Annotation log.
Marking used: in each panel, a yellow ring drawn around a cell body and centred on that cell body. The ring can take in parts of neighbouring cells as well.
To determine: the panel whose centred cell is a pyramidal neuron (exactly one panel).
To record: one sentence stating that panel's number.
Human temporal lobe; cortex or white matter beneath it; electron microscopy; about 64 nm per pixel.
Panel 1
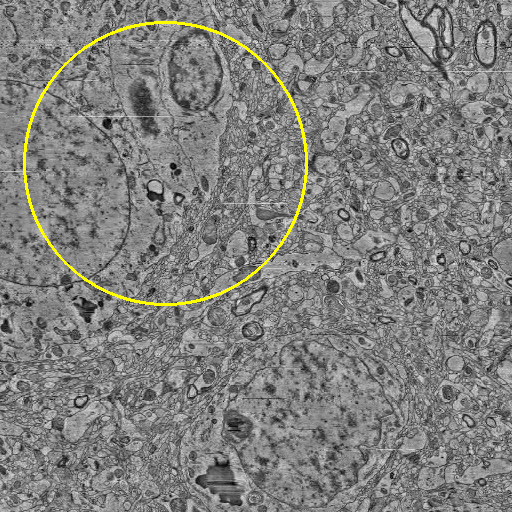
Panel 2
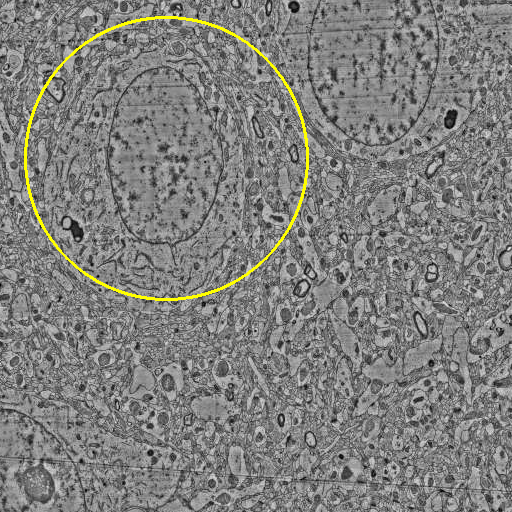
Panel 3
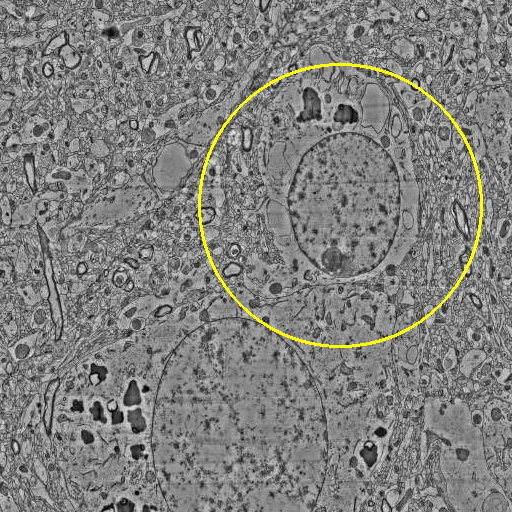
Panel 2 shows it at the centre of its ring.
